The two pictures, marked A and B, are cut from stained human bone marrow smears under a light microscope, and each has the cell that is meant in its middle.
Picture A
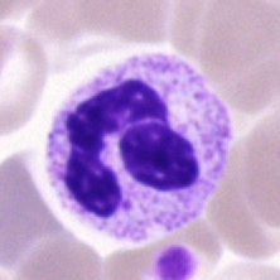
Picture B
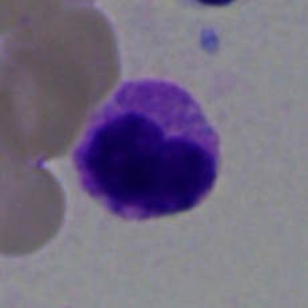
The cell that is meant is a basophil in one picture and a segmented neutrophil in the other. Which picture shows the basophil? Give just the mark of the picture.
B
